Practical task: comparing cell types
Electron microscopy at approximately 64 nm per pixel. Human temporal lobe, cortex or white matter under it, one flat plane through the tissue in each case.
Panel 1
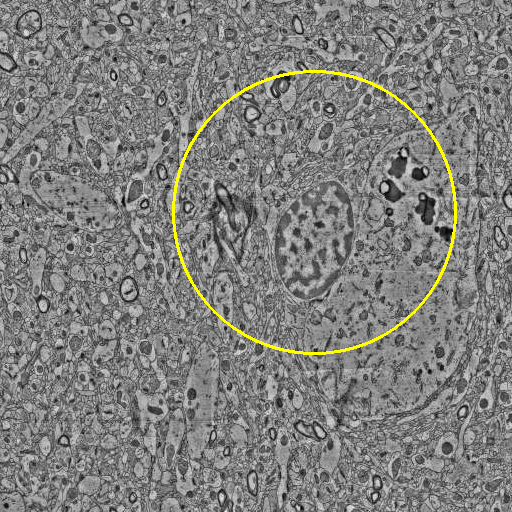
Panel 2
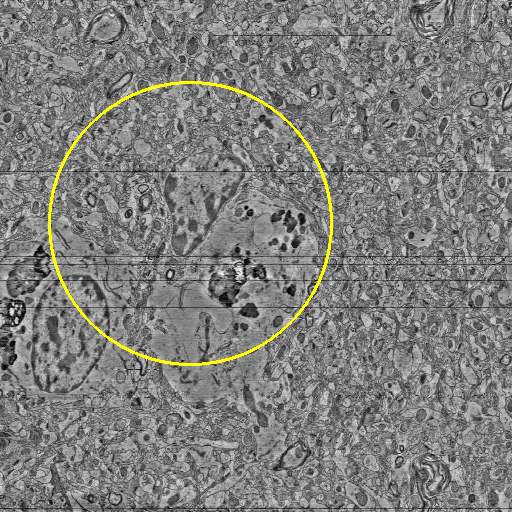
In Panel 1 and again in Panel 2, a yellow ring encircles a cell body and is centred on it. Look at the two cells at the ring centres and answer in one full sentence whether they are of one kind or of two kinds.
The two cells sitting at the ring centres of Panels 1 and 2 are of one kind.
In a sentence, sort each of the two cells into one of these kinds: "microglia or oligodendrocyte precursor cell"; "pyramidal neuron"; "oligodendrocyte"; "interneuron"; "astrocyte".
In both pictures the ring is centred on a microglial cell or oligodendrocyte precursor cell.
